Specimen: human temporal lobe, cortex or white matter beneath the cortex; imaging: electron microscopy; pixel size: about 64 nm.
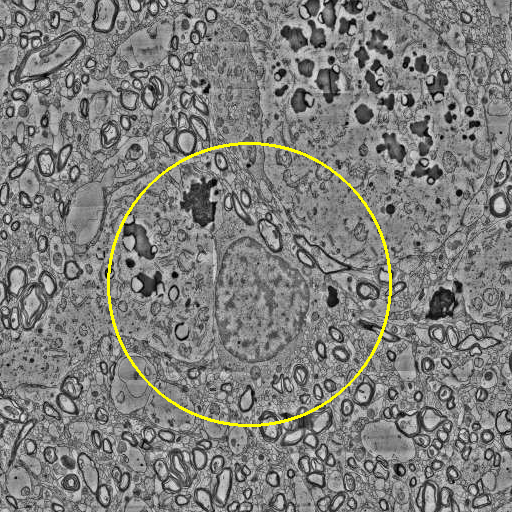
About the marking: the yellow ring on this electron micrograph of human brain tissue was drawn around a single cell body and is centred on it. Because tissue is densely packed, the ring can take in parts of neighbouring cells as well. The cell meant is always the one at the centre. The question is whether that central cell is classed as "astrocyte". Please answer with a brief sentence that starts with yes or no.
No, the central cell belongs to another class.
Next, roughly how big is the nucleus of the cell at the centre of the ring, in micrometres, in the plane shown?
In this plane the nucleus is about 8 micrometres by 6.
